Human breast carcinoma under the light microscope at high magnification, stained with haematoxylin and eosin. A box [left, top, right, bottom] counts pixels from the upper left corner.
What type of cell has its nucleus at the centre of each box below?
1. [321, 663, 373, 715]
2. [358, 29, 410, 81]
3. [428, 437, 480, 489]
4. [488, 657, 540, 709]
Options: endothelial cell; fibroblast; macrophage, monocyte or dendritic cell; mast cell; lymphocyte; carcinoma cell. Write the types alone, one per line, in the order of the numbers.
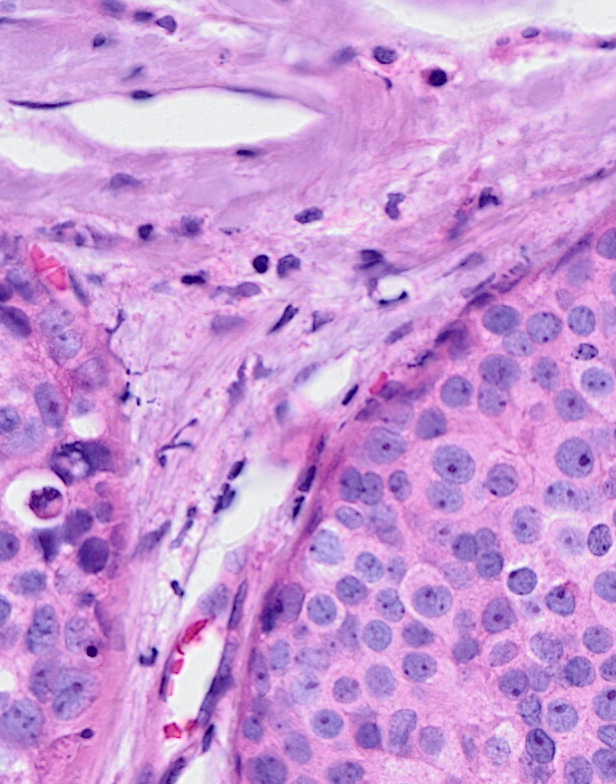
carcinoma cell
mast cell
carcinoma cell
carcinoma cell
